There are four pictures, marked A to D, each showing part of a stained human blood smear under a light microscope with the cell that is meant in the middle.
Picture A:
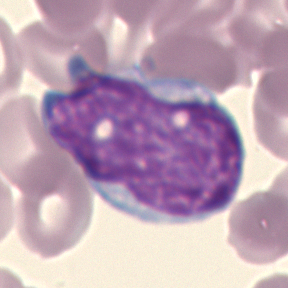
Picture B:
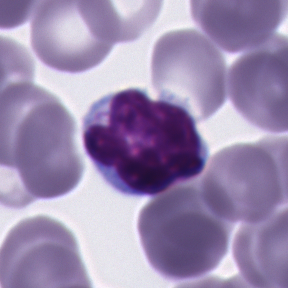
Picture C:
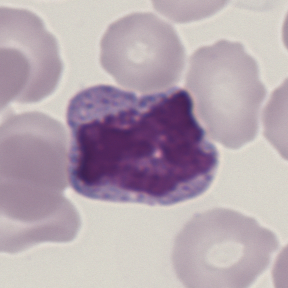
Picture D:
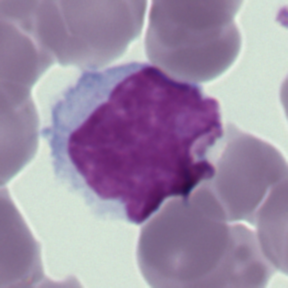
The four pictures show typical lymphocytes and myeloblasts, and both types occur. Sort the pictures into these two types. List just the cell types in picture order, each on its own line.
myeloblast
typical lymphocyte
typical lymphocyte
typical lymphocyte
